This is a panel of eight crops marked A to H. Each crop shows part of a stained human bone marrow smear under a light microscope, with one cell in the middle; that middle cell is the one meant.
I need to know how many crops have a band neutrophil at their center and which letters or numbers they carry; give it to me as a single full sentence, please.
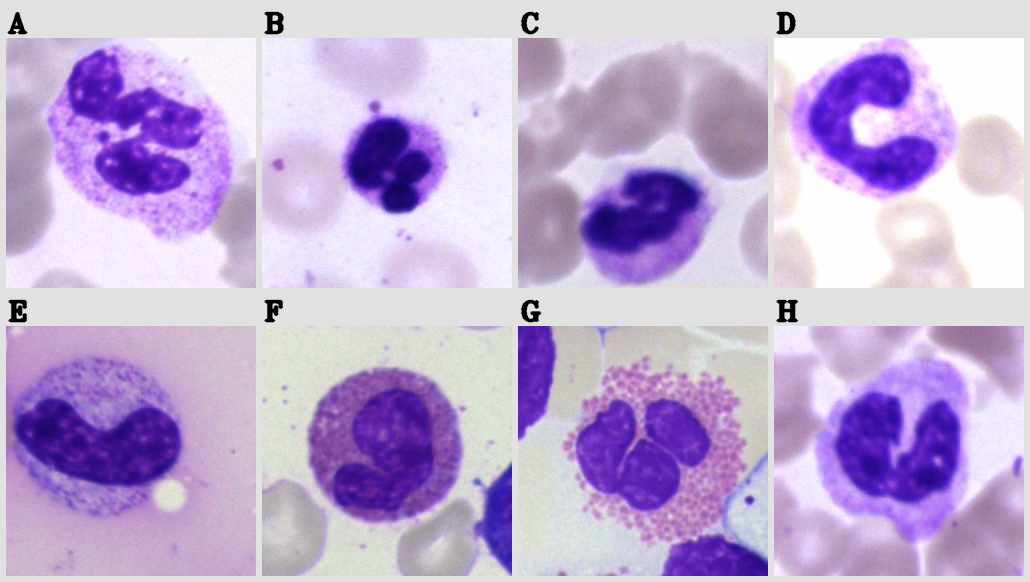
Found in crops D and E, the band neutrophils account for two crops.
